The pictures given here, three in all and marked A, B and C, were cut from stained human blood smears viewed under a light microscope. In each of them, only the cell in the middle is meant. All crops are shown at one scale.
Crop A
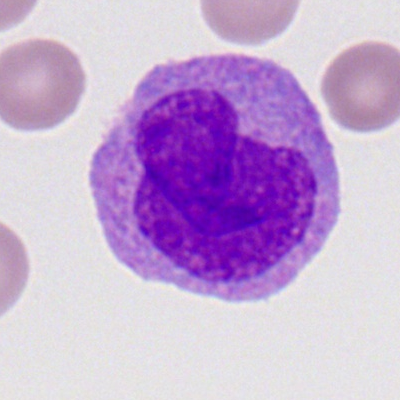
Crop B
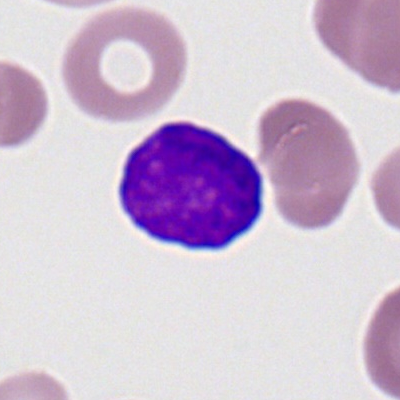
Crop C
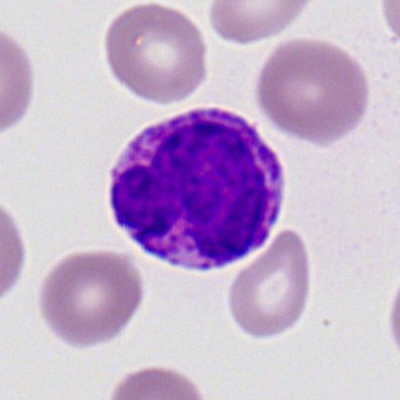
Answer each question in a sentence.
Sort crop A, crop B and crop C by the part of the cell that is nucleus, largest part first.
They run B, C, A, the most filled first.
